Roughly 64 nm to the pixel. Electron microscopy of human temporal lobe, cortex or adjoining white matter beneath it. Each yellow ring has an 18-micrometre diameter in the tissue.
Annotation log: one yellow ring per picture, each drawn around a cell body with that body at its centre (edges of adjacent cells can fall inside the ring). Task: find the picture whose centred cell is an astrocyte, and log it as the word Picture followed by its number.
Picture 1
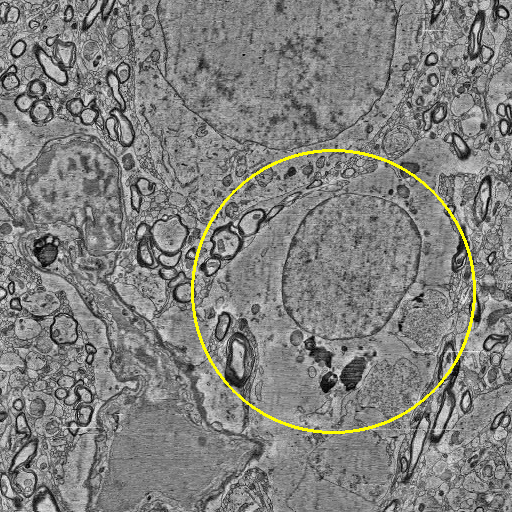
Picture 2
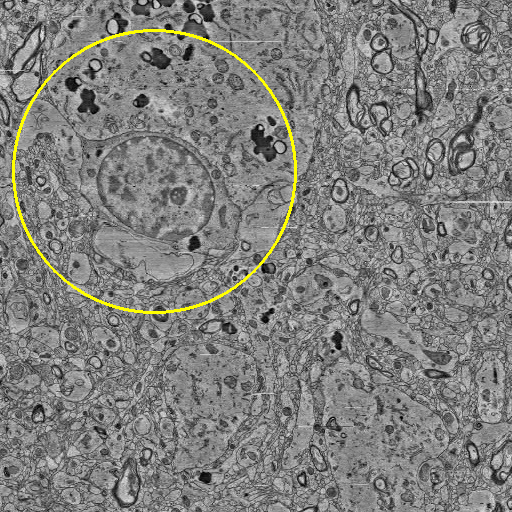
Picture 1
